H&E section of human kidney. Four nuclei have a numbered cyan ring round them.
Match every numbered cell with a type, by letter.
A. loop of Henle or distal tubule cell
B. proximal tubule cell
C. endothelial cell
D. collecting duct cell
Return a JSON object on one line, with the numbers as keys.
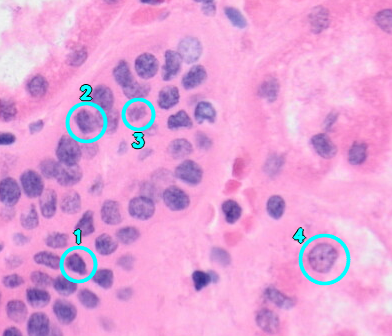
{"1": "D", "2": "D", "3": "D", "4": "B"}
